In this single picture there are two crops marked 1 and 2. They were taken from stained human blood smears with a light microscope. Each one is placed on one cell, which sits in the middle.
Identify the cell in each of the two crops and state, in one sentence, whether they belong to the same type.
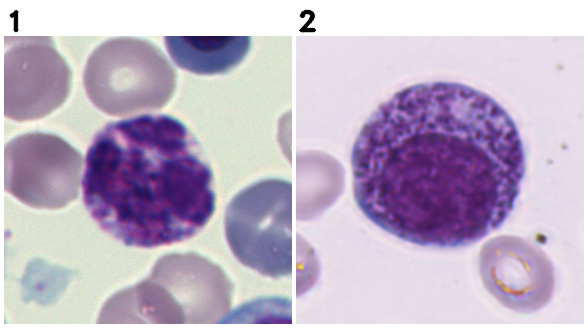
No, in crop 2 the central cell is a promyelocyte, and in crop 1 it is a basophil.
